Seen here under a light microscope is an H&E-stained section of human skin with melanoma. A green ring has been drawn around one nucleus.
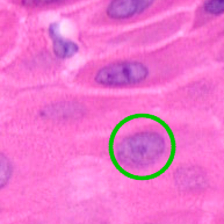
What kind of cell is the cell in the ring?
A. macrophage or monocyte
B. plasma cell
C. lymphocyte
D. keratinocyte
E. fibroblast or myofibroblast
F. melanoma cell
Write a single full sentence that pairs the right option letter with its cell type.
Of the options given, D is right: the cell in the ring is a keratinocyte.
